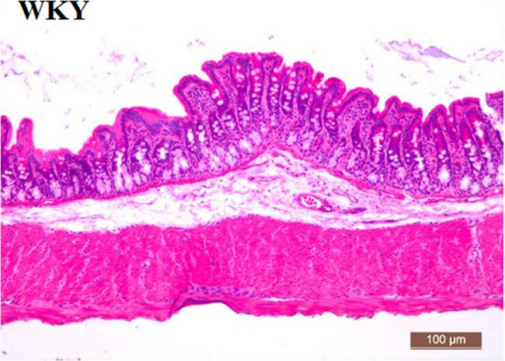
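This is a section through the wall of the colon, stained pink and purple. On the luminal side the mucosa rises in a tall, orderly row of crypts lined by purple-nucleated columnar epithelium, with many pale, clear goblet cells in the crypt walls. Beneath it lies a loose, pale submucosa containing a small vessel. The outermost part is a thick, evenly pink band of smooth muscle, the tunica muscularis.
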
